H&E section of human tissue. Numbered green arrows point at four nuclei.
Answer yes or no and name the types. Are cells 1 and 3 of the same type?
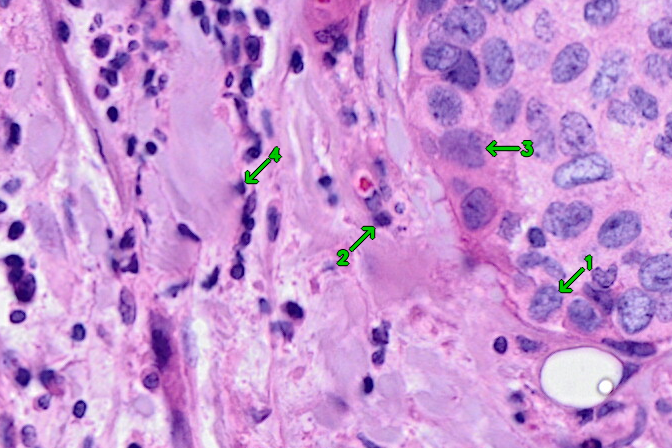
Yes, the cell marked 1 and the cell marked 3 are both carcinoma cells.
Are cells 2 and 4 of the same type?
Yes, and to be precise, cells 2 and 4 are both lymphocytes.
